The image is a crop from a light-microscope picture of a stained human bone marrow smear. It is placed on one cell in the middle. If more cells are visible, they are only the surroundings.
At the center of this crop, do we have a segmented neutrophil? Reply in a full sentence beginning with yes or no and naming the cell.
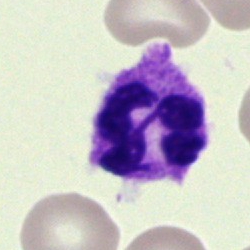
Yes, the cell right in the middle is a segmented neutrophil.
